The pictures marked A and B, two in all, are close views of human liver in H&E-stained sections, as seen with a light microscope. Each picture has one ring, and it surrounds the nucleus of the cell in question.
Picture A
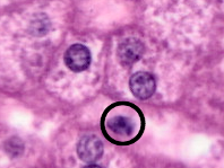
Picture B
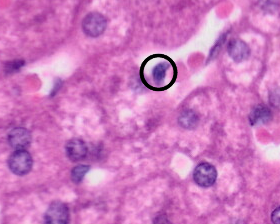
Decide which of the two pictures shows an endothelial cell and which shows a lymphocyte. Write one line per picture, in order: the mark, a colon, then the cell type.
A: endothelial cell
B: lymphocyte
